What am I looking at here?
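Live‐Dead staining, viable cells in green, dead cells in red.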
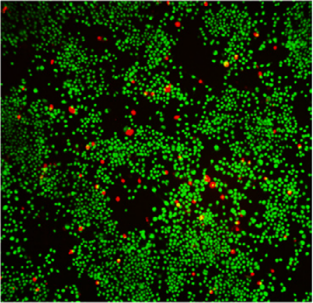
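This fluorescence field shows a dense culture of small, round cells, most of them glowing green. The green cells are packed closely in broad clusters, with dark gaps of empty background between them. A smaller number of cells scattered among them glow red, and a few appear yellowish where the two colours meet.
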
